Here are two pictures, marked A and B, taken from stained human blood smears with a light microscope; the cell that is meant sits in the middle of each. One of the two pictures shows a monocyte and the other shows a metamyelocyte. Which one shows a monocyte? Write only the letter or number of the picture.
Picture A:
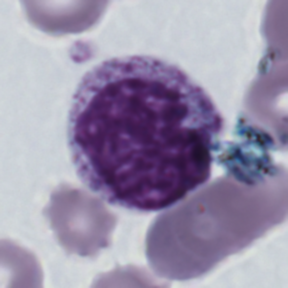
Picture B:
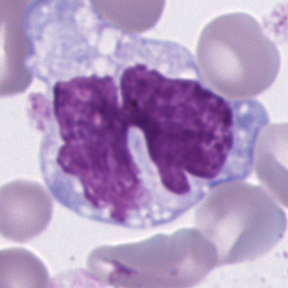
B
